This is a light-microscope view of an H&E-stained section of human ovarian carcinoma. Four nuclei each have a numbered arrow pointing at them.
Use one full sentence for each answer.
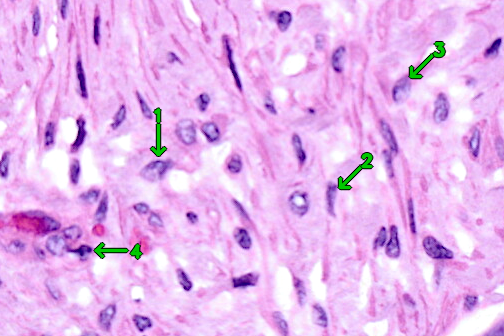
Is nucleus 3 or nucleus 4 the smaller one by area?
With nucleus 3 about 1.5 times its size, nucleus 4 is the smaller of the two.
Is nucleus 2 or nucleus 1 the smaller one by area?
Number 2 is smaller, since number 1 takes up about 2 times as much area.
